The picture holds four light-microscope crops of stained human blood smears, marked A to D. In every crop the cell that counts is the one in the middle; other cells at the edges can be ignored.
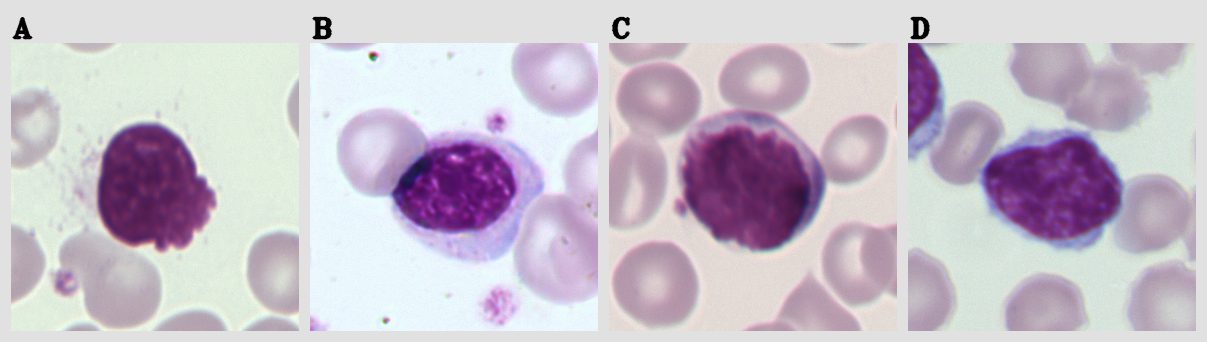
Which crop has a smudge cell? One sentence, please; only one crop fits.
Selected crop: A, which is the one that shows a smudge cell.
